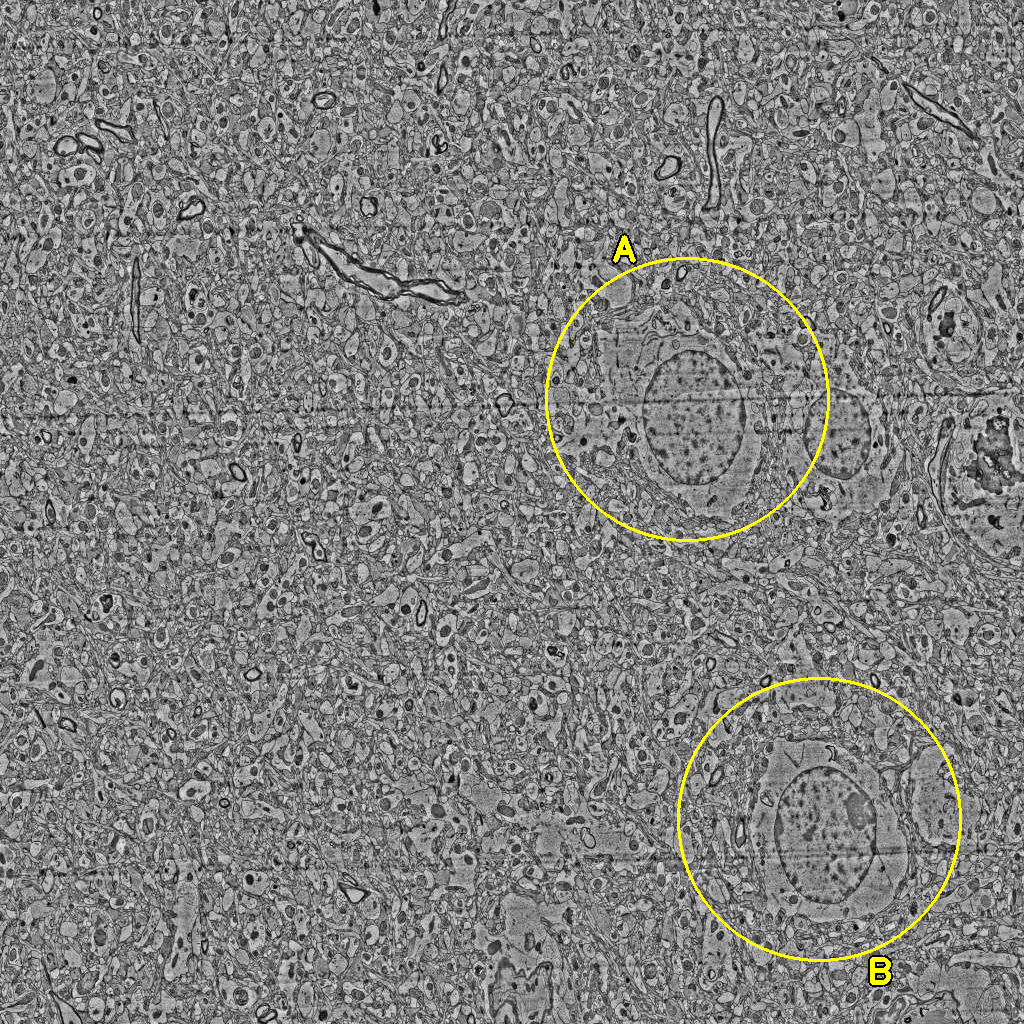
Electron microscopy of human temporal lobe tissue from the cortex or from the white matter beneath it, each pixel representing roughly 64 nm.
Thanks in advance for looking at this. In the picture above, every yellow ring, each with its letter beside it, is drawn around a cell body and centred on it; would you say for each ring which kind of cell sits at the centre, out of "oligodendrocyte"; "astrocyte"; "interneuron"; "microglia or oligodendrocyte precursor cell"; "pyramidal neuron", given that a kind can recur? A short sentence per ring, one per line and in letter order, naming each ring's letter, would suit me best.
The cell body in ring A belongs to an astrocyte.
The cell body in ring B belongs to an astrocyte.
